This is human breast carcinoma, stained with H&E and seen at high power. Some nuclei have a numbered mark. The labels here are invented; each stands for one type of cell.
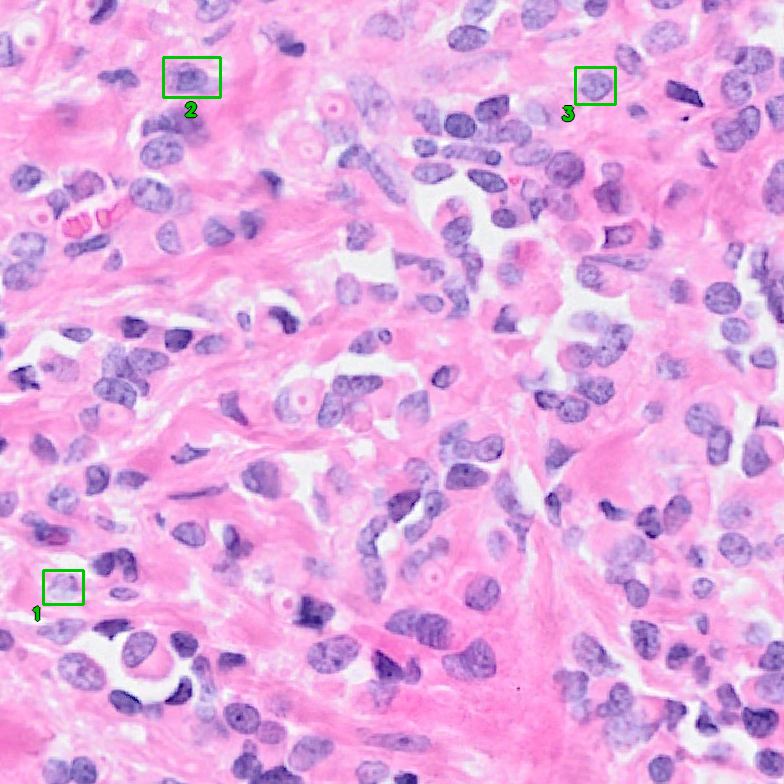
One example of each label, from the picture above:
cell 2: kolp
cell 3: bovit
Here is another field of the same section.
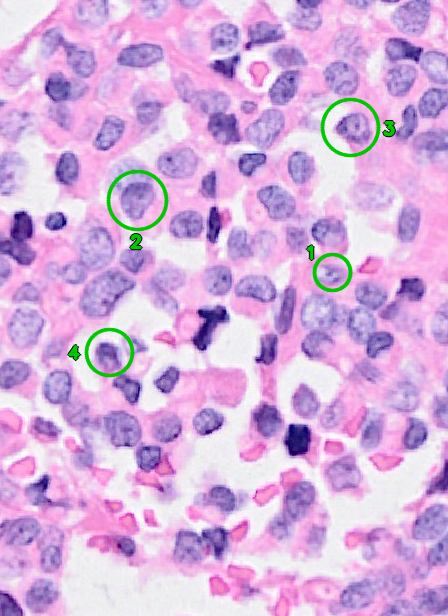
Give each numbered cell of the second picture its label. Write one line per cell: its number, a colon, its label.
1: kolp
2: bovit
3: bovit
4: bovit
